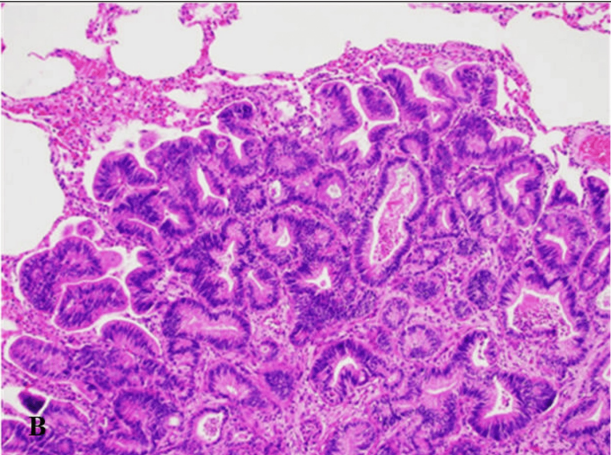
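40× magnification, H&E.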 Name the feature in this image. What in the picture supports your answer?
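Tall columnar cells with crowded, elongated nuclei line tubular spaces. The tumor cells are arranged around central lumina in back-to-back folded tubules.
Answer: glands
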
